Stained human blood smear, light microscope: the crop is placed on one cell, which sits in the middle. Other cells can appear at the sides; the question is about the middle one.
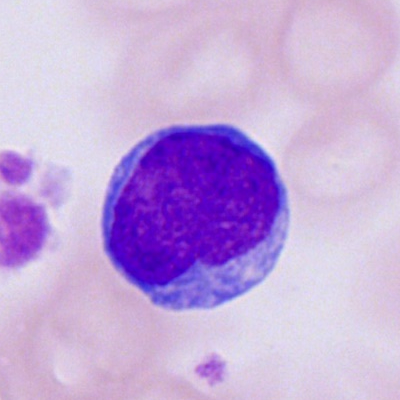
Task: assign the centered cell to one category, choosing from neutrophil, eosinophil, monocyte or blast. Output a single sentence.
In the middle of this smear crop, the cell is a blast.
